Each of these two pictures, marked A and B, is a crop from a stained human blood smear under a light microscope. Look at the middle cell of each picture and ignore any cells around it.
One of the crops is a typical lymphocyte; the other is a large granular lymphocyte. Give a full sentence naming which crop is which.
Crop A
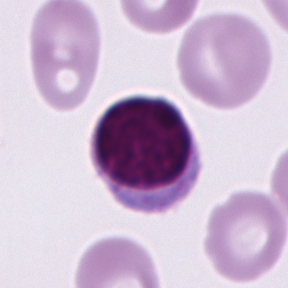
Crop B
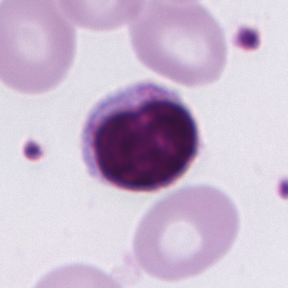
Crop A is classified as a typical lymphocyte, and crop B as a large granular lymphocyte.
